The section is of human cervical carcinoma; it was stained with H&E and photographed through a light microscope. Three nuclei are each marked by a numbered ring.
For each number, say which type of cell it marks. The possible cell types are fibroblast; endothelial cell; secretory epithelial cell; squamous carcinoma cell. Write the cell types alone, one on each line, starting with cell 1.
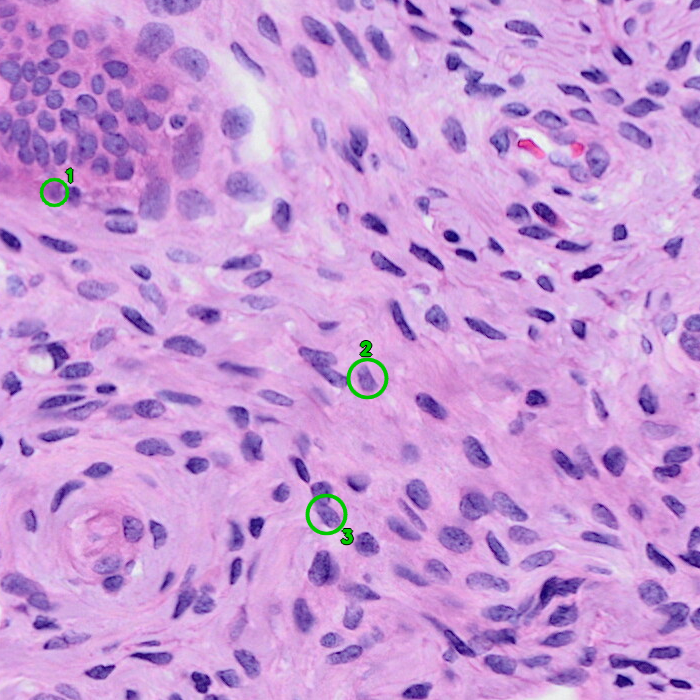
secretory epithelial cell
fibroblast
fibroblast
